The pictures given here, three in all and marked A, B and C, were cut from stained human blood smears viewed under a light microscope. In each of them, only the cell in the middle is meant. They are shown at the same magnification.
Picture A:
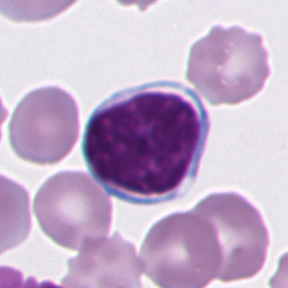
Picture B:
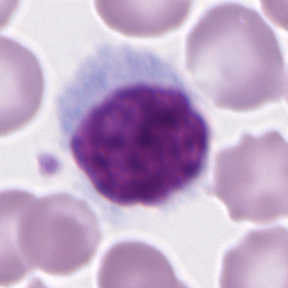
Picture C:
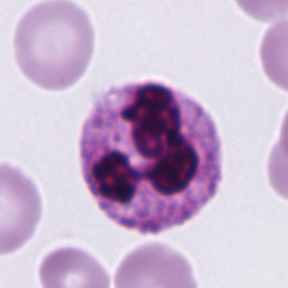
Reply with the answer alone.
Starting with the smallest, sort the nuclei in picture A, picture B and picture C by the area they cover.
C, A, B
